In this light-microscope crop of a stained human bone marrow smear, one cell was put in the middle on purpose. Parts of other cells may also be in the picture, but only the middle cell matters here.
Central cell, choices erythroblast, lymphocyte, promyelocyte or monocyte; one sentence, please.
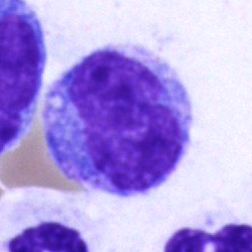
The cell under consideration, at the middle of the crop, is a monocyte.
